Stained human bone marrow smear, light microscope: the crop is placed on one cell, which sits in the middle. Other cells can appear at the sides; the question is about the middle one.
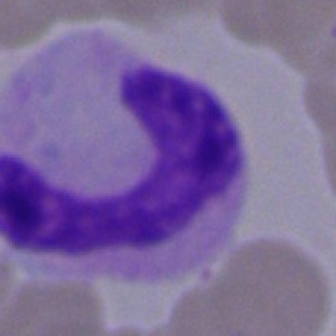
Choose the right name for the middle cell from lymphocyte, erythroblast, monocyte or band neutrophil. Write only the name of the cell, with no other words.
band neutrophil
